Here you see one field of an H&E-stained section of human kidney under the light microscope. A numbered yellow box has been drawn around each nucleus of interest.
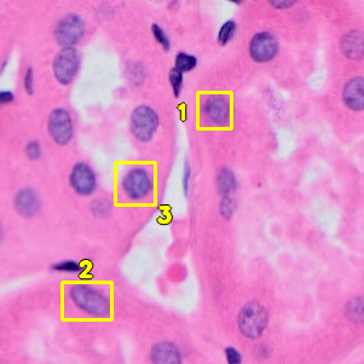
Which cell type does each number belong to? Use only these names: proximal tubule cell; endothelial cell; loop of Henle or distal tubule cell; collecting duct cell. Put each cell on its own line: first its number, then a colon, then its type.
1: proximal tubule cell
2: proximal tubule cell
3: loop of Henle or distal tubule cell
